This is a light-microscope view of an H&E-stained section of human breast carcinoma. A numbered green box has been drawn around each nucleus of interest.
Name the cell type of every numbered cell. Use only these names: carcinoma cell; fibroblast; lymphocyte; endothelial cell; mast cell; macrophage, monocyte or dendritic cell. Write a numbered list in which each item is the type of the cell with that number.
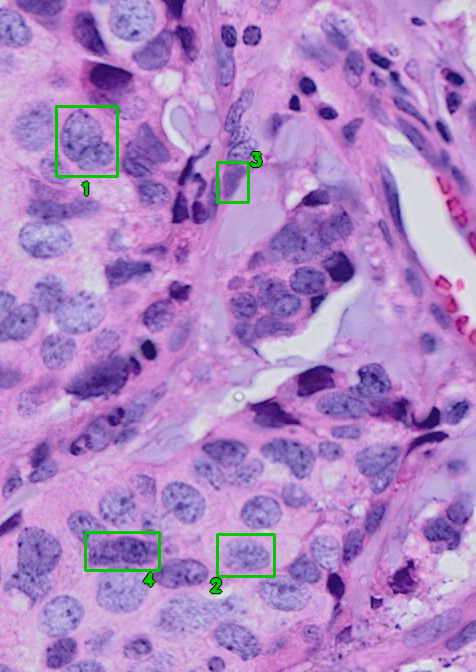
1. carcinoma cell
2. carcinoma cell
3. endothelial cell
4. carcinoma cell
